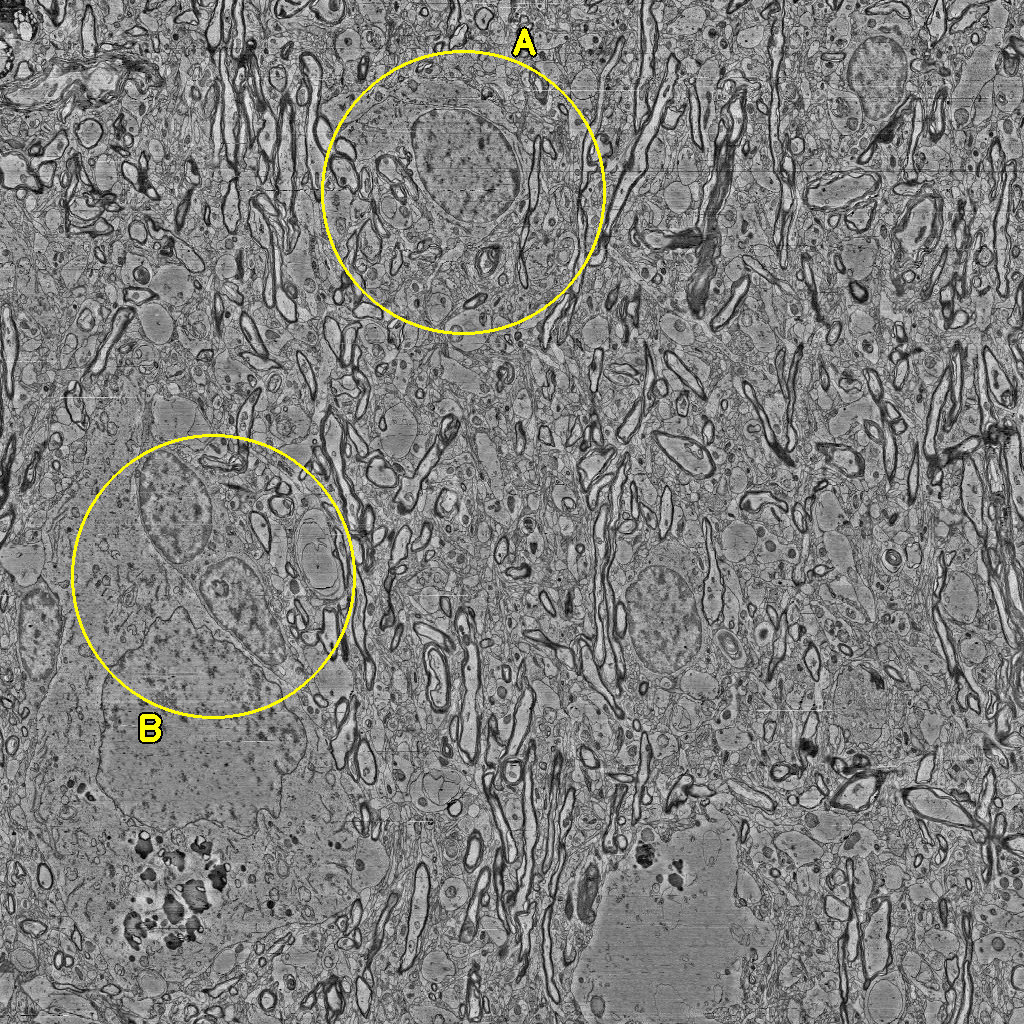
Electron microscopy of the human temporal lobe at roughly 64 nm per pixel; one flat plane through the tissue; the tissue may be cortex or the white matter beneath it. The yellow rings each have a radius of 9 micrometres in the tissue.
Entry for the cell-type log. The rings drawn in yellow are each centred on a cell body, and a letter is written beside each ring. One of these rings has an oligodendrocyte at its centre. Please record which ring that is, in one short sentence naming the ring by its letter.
Ring B is centred on it.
